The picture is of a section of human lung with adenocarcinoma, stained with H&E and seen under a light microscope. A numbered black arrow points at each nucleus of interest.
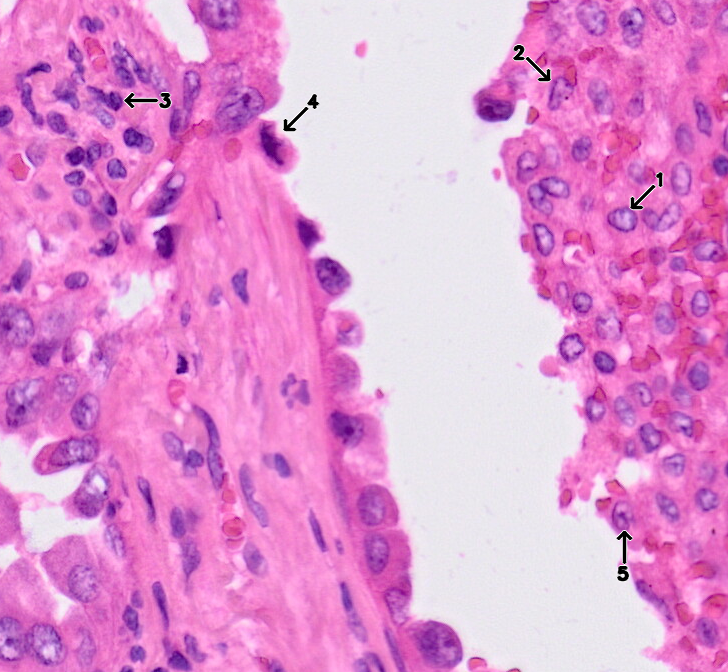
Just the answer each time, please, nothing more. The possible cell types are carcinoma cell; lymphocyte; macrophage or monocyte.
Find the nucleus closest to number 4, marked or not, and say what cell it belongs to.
carcinoma cell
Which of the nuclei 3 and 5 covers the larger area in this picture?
5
